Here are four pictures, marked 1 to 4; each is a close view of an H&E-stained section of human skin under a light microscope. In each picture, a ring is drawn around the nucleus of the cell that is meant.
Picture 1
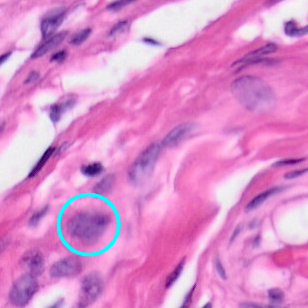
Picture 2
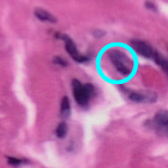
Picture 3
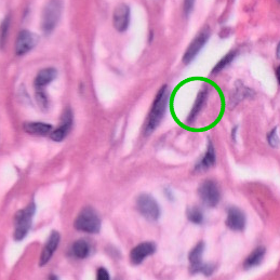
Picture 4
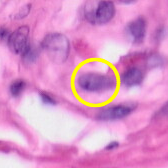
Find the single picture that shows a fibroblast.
1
